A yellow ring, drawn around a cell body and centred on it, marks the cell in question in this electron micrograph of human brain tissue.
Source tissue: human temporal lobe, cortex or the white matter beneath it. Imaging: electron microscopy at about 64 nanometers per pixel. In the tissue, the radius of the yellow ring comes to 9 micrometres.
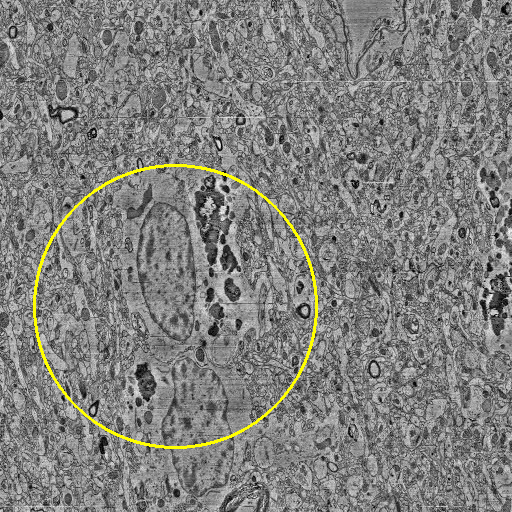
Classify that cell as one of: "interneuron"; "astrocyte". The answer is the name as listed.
astrocyte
